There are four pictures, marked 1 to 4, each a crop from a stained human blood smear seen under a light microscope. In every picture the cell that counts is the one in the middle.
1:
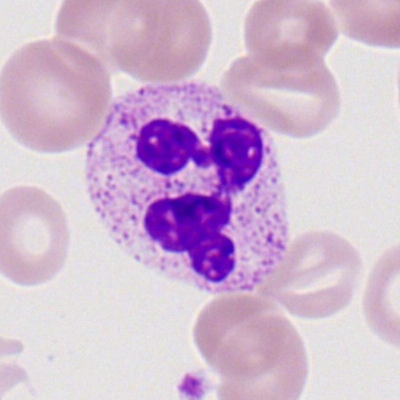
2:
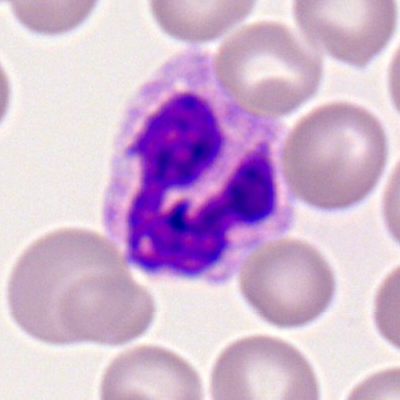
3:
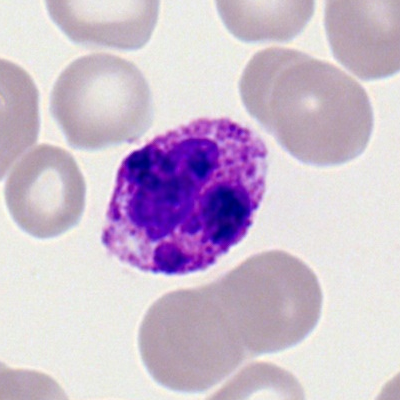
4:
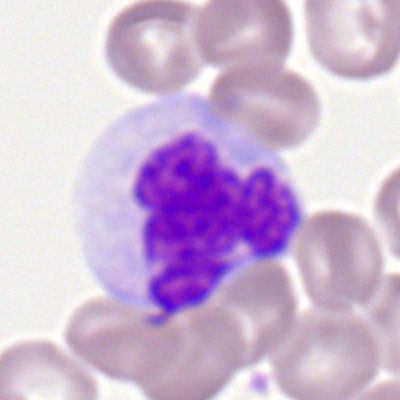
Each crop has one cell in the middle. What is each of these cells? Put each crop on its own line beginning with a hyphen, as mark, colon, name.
- 1: neutrophil
- 2: basophil
- 3: basophil
- 4: monocyte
